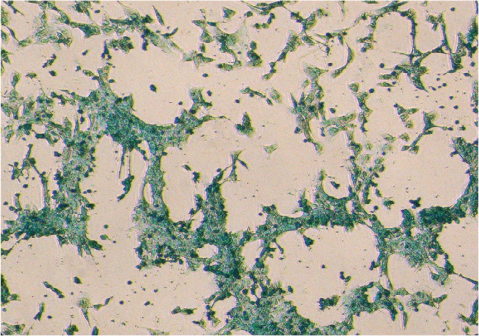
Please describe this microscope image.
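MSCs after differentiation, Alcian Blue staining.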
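The cells are gathered into dense aggregates that link up into a branching network. Between the aggregates lie wide, empty, pale areas with only small scattered dots. At the edges of the aggregates, single spindle-shaped and stellate cells with thin processes reach outwards. The densest parts of the network stain darkest, where individual cells can no longer be told apart.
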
